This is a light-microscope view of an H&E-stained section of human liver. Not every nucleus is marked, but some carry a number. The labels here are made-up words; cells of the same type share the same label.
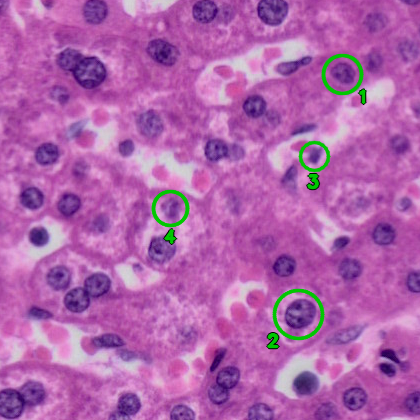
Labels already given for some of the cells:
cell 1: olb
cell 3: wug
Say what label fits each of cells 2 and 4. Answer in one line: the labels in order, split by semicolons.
olb; olb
